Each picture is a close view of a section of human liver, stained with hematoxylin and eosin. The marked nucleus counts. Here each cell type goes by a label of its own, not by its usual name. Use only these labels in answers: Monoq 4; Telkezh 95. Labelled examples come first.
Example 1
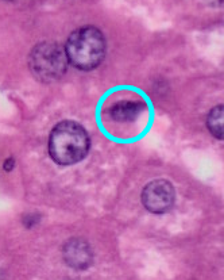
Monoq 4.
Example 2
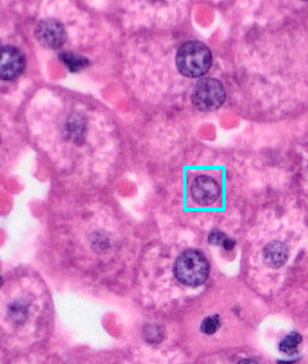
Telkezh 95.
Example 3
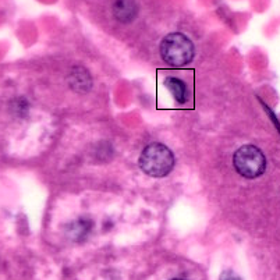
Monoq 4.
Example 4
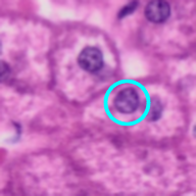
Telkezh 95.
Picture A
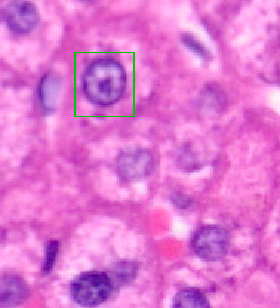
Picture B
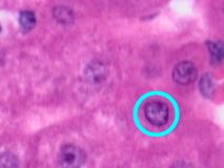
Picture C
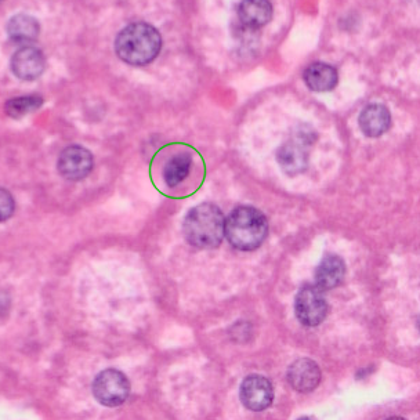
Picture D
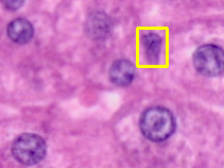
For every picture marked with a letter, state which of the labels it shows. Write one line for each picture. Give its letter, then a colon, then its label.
A: Telkezh 95.
B: Telkezh 95.
C: Monoq 4.
D: Monoq 4.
